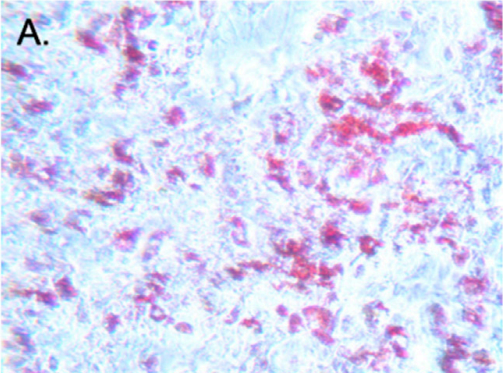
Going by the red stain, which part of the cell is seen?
Fat droplets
